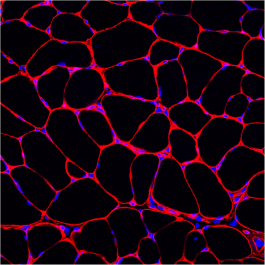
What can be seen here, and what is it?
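This is a cross-section of skeletal muscle, with each muscle fiber cut across and seen as a dark, rounded-polygonal profile. A thin red border surrounds every fiber, tracing the sheath around it, so the field looks like a net of red meshes. Many of the fibers here are large, and their sizes vary, with some clearly bigger than their neighbours. Blue nuclei lie at the edges of the fibers, pressed against the red borders rather than in the middle. In places the red between fibers is thicker and carries extra blue nuclei, where connective tissue lies between the fibers.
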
